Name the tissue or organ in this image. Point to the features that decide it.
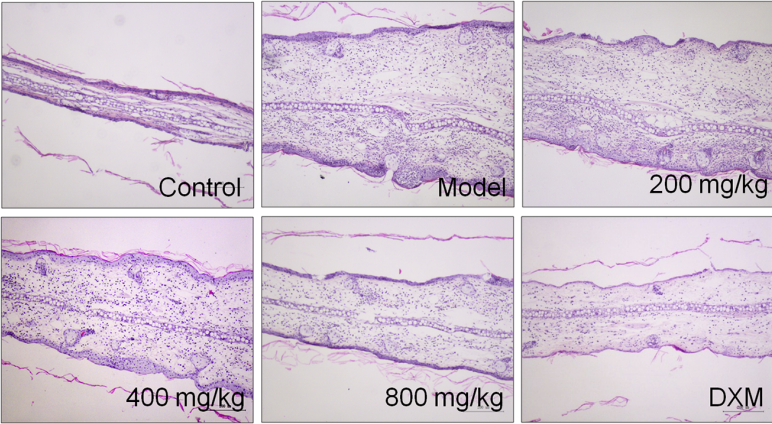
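Ears. A thin central plate of cartilage runs along each section. A thin surface layer of skin covers both sides of the plate. Loose connective tissue lies between the cartilage and each skin surface.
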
